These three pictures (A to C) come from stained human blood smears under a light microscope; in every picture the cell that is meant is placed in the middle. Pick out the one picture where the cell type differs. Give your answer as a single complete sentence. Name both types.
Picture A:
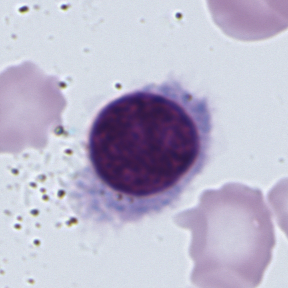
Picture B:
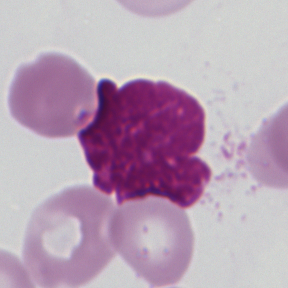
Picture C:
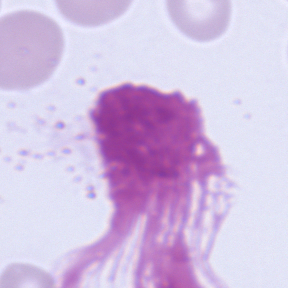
Picture A is the odd one out: it shows a hairy cell, while the others show smudge cells.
